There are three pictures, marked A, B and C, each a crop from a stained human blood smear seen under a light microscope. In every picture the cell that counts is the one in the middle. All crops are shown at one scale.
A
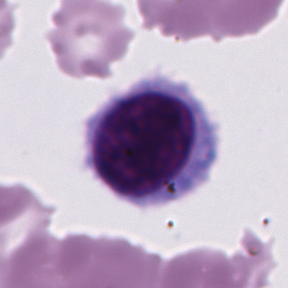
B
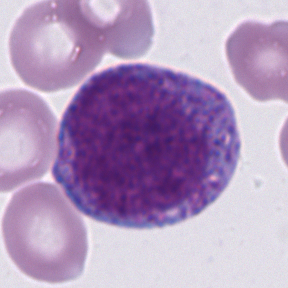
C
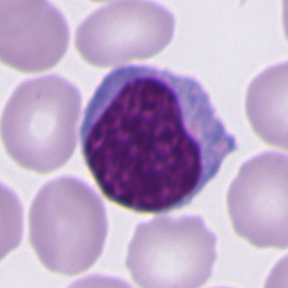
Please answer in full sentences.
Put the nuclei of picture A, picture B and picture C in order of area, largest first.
Going down, they run B, C, A.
